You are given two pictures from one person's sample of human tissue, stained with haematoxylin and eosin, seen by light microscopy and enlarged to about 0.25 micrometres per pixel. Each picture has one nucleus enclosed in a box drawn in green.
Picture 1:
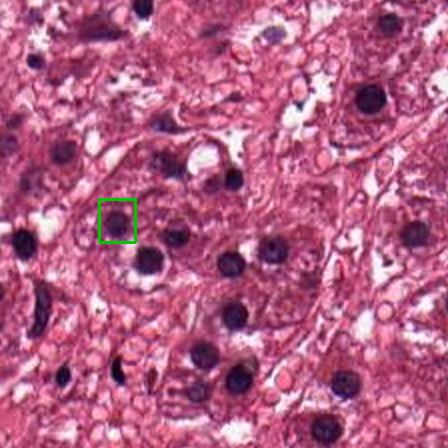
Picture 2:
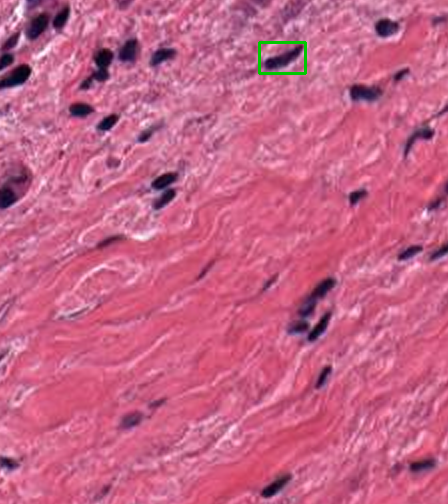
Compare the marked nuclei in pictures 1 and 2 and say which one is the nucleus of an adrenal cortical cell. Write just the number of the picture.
1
